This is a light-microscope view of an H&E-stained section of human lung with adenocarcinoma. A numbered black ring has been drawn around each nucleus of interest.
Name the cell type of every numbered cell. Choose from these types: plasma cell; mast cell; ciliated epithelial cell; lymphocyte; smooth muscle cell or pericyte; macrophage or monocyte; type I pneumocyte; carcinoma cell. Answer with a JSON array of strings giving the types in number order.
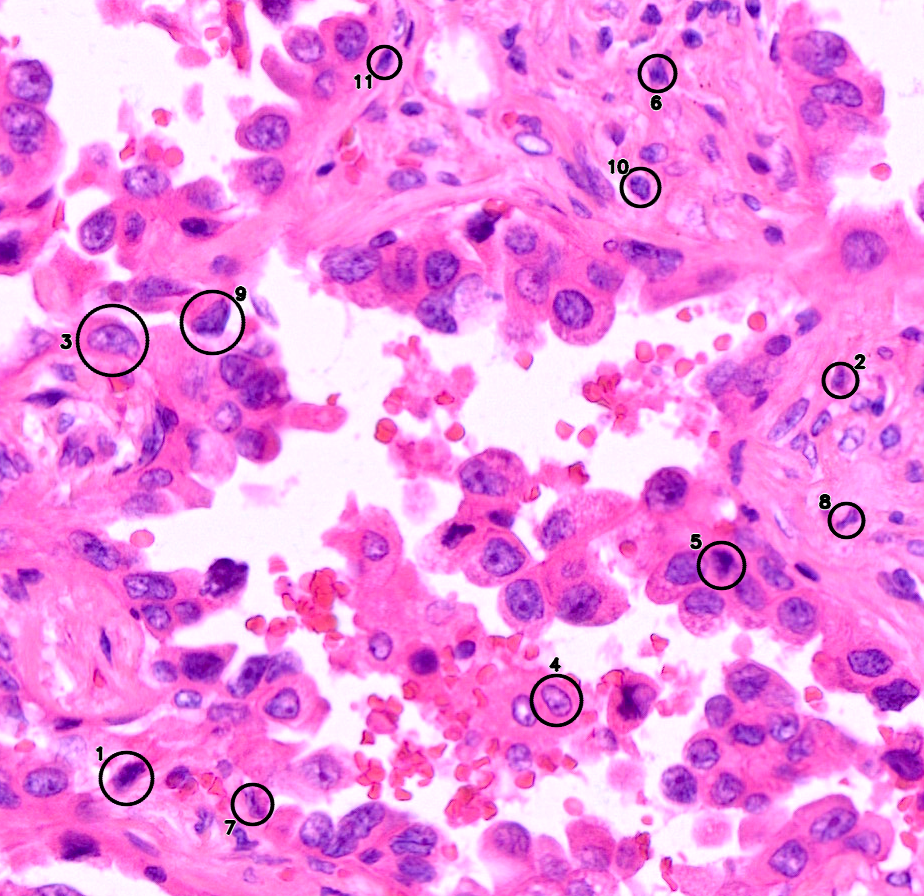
["carcinoma cell", "plasma cell", "carcinoma cell", "macrophage or monocyte", "carcinoma cell", "lymphocyte", "macrophage or monocyte", "plasma cell", "carcinoma cell", "lymphocyte", "lymphocyte"]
